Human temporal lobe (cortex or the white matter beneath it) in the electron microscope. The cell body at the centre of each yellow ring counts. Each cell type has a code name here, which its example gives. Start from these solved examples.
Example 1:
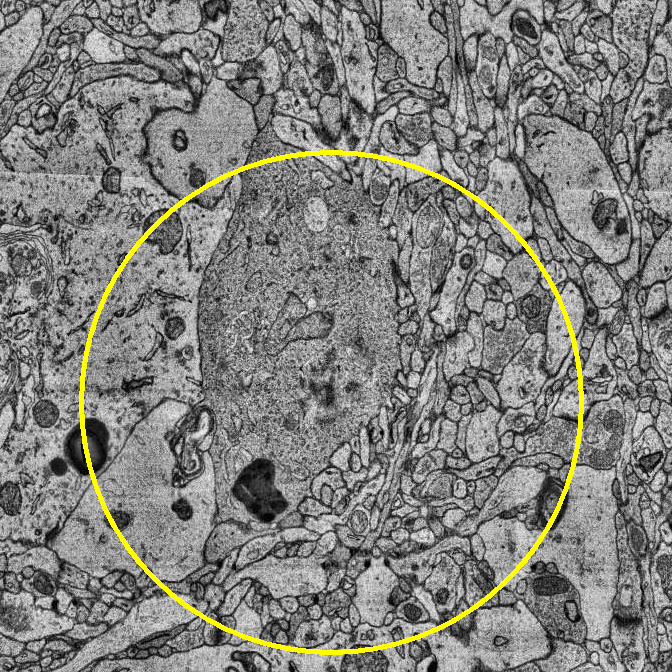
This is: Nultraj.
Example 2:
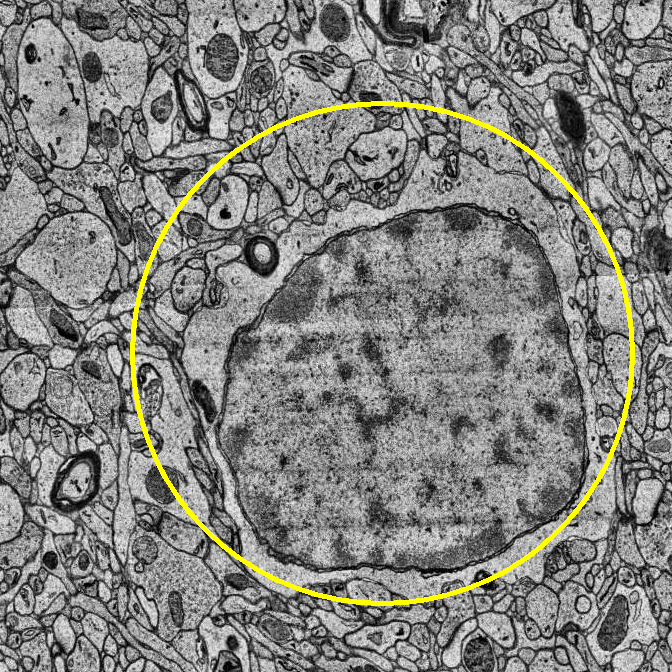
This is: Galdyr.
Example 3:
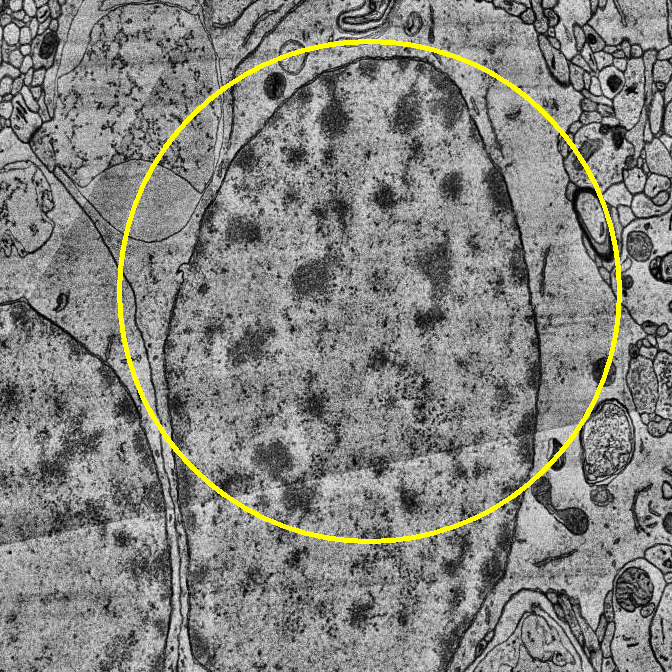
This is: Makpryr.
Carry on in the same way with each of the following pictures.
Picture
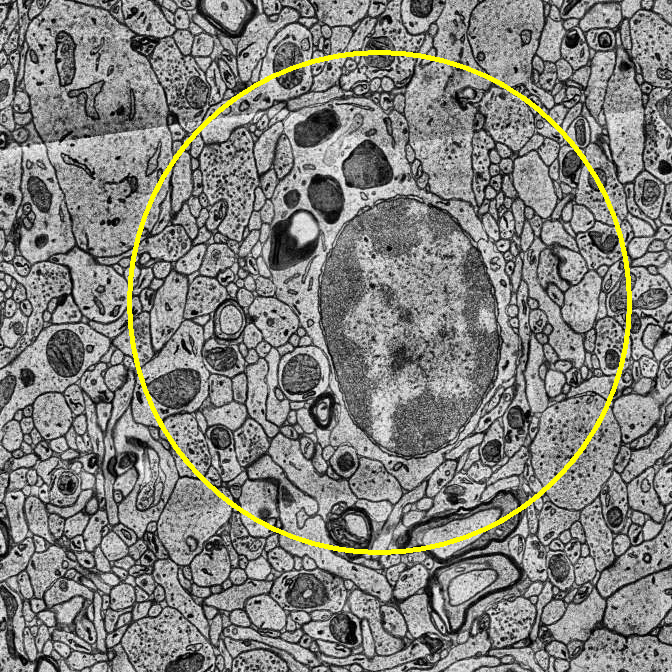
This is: Galdyr.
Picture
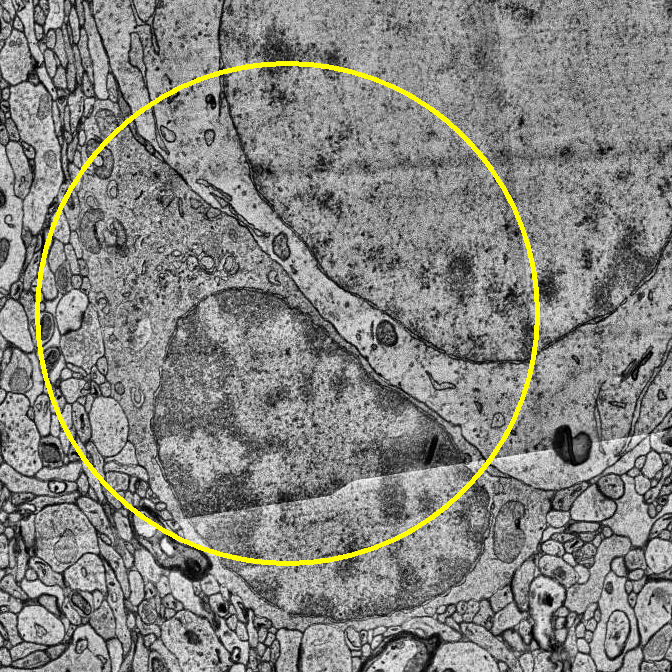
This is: Nultraj.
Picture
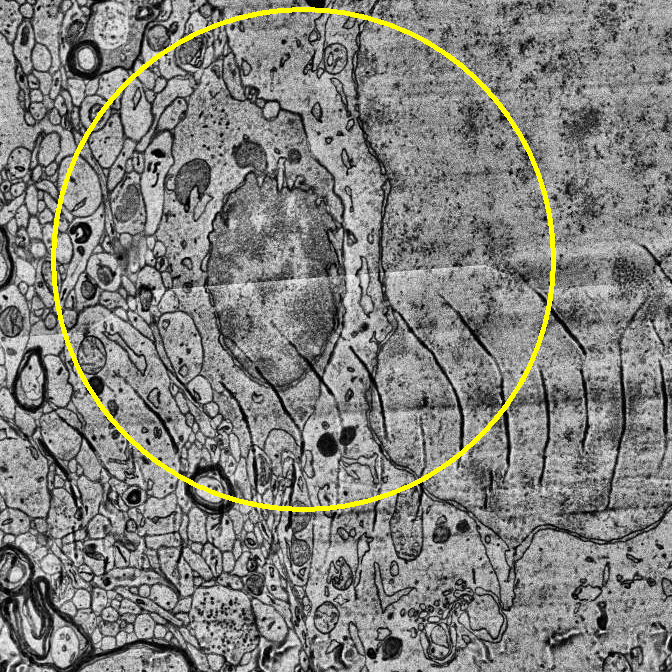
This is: Nultraj.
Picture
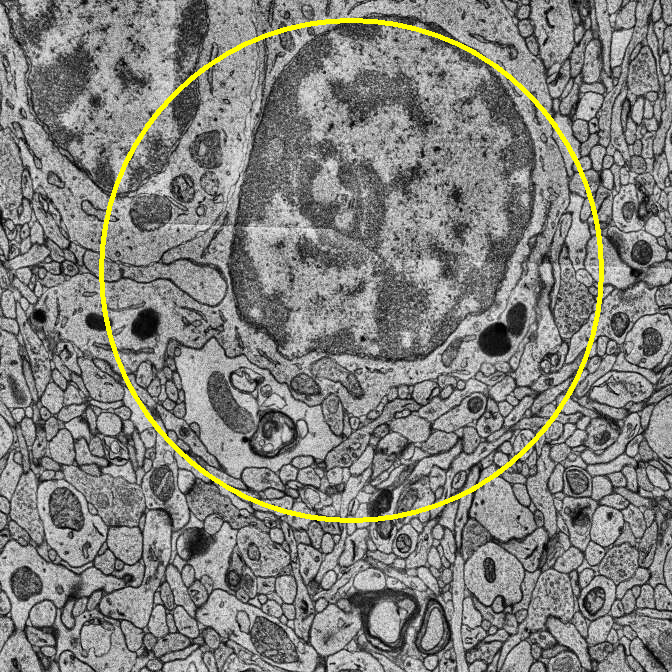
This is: Galdyr.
